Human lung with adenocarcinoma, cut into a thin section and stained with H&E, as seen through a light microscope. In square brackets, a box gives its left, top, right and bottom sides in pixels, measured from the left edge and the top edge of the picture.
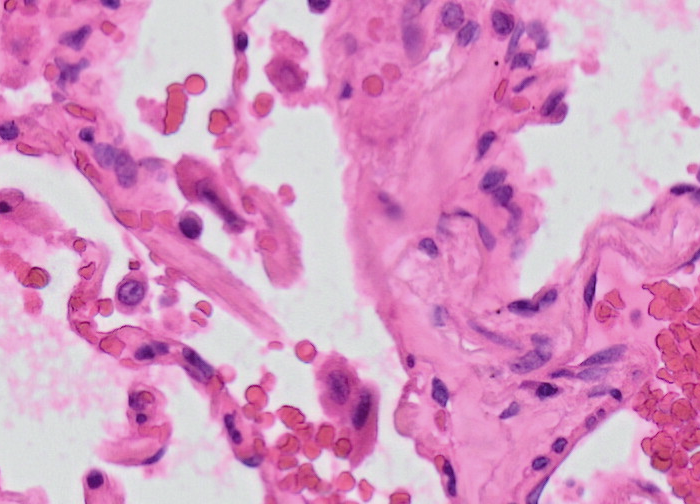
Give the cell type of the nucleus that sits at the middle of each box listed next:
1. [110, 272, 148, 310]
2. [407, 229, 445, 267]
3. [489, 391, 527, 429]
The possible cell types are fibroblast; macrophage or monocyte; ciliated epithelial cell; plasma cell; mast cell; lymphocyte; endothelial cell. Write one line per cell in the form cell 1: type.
cell 1: macrophage or monocyte
cell 2: mast cell
cell 3: fibroblast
